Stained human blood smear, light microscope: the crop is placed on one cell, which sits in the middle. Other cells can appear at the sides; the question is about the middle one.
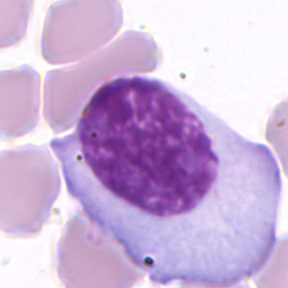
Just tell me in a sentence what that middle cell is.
The identification for the central cell is a plasma cell.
